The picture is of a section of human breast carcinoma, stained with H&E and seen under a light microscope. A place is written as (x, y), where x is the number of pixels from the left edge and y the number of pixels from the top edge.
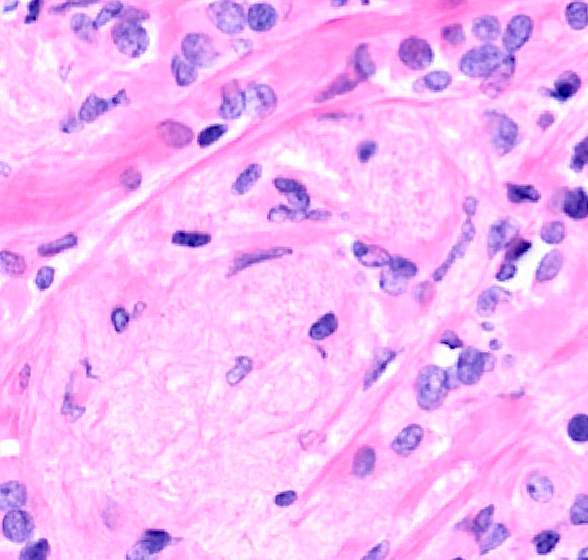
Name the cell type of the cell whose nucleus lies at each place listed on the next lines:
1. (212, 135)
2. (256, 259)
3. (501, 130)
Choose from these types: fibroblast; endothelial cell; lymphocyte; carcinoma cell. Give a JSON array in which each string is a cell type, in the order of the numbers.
["lymphocyte", "fibroblast", "fibroblast"]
